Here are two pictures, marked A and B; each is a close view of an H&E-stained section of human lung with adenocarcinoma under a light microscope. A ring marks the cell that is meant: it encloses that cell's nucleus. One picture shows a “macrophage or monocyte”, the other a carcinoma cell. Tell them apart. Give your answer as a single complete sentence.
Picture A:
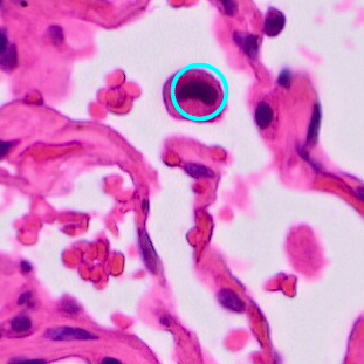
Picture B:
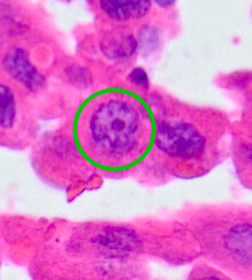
The cell in picture A is a “macrophage or monocyte”, and the one in picture B is a carcinoma cell.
